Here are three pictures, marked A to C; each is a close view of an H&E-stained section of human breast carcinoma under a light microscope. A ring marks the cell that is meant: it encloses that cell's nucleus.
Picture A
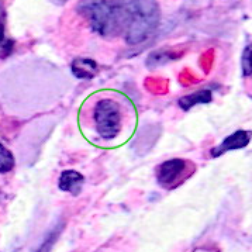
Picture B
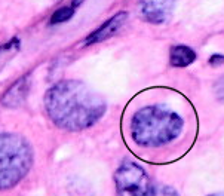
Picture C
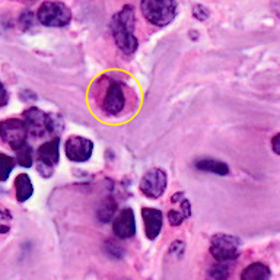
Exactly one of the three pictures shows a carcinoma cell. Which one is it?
B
